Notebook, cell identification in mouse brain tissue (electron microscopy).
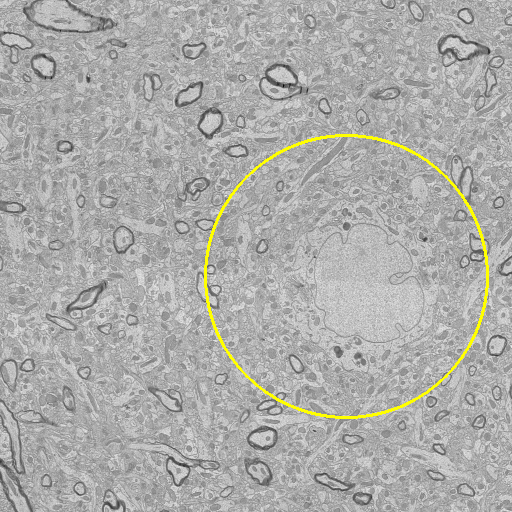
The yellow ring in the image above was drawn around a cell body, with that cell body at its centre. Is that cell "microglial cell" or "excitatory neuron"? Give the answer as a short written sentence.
The cell in the ring is an excitatory neuron.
